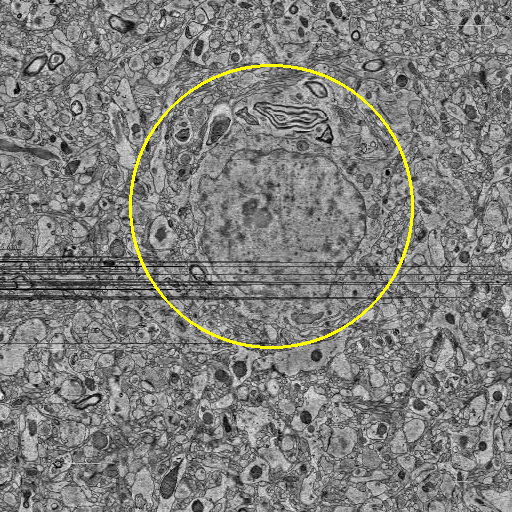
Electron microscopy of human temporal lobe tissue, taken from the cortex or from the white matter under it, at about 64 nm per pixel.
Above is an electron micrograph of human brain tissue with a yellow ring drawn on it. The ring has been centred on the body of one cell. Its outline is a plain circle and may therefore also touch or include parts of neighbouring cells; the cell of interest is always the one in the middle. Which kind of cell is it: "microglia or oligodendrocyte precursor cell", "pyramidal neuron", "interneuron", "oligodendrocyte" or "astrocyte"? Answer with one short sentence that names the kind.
The ring's central cell body is that of an interneuron.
